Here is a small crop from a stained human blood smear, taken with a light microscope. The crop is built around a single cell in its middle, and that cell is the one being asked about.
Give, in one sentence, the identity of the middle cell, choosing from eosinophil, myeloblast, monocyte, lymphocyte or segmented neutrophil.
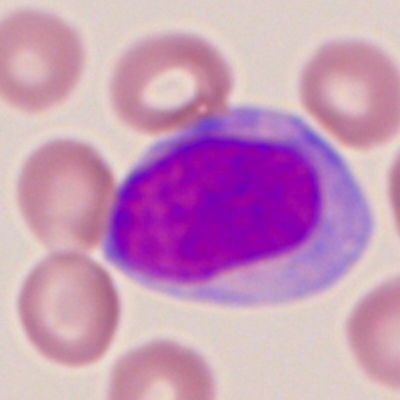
Regarding the central cell, it is a myeloblast.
